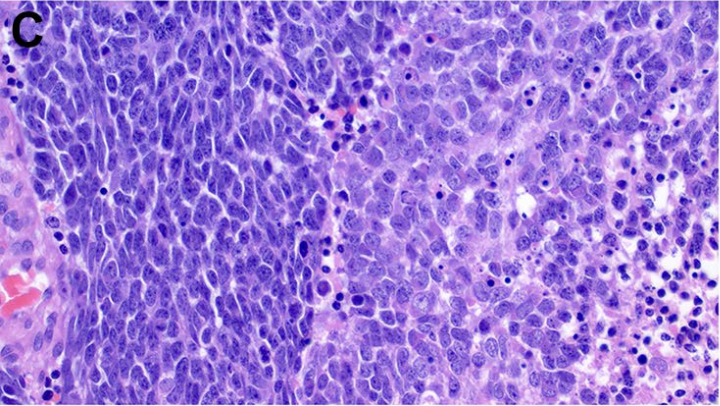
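Two populations of tumour cells meet along a sharp border. On the left, crowded ovoid cells with dark blue nuclei and scant cytoplasm resemble a small cell carcinoma. On the right, larger cells have more pale pink cytoplasm and paler nuclei. Among the cells on the right lie many small round dark nuclear fragments of necrotic debris. A vessel with red blood cells is seen at the far left edge.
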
